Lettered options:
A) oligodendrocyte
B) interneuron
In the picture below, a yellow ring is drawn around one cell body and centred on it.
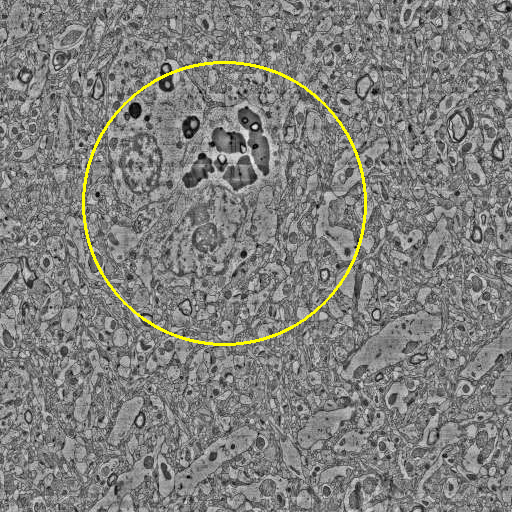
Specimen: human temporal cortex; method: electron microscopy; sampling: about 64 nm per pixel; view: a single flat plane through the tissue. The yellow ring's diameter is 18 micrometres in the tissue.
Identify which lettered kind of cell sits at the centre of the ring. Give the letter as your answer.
B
